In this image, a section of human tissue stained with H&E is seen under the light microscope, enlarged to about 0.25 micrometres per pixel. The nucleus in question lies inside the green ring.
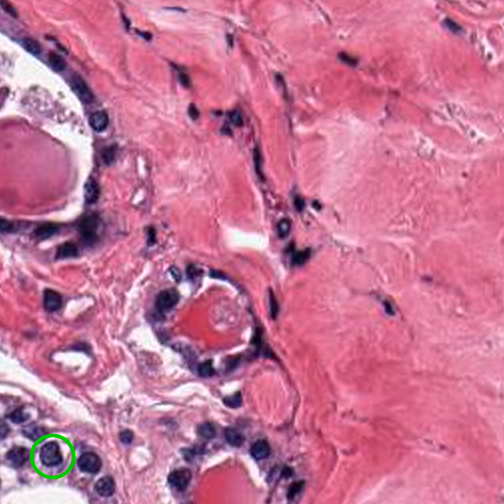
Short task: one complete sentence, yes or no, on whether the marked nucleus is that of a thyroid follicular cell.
Yes, the marked nucleus is a nucleus of a thyroid follicular cell.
